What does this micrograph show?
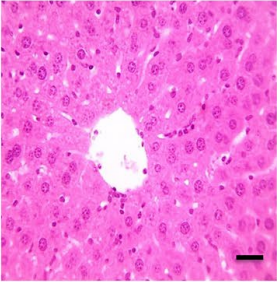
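Normal liver with a central vessel surrounded by plates of large polygonal hepatocytes that have pink cytoplasm and central round nuclei, some with visible nucleoli. Narrow sinusoids run between the plates, and no clusters of inflammatory cells are seen.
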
